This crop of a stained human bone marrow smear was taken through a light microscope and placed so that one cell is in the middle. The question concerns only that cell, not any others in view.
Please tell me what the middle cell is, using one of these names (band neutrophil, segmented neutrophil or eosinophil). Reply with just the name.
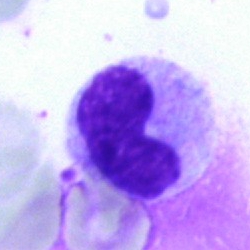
band neutrophil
